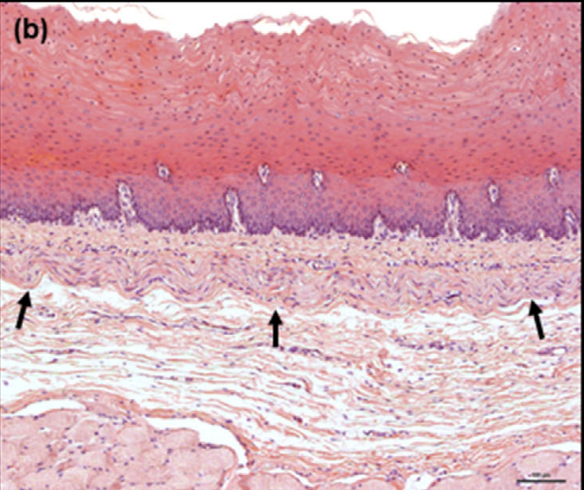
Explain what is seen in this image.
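This is the wall of the esophagus cut lengthwise, with a thick stratified squamous epithelium on top whose surface layers are pink and flattened and whose deep layers are crowded with purple nuclei, sending ridges down into the connective tissue. Beneath it lies a layer of connective tissue and then the lamina muscularis mucosae, a thin continuous wavy band of elongated pink fibres. Below that is loose, pale submucosa, and at the bottom the cut ends of pink muscle fibres.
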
